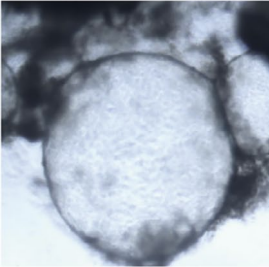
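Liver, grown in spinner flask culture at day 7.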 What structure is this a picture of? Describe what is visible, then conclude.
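A large round structure with a thin, sharply outlined wall. Its inside looks hollow and translucent. Darker irregular cell masses lie around it.
Answer: organoids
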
